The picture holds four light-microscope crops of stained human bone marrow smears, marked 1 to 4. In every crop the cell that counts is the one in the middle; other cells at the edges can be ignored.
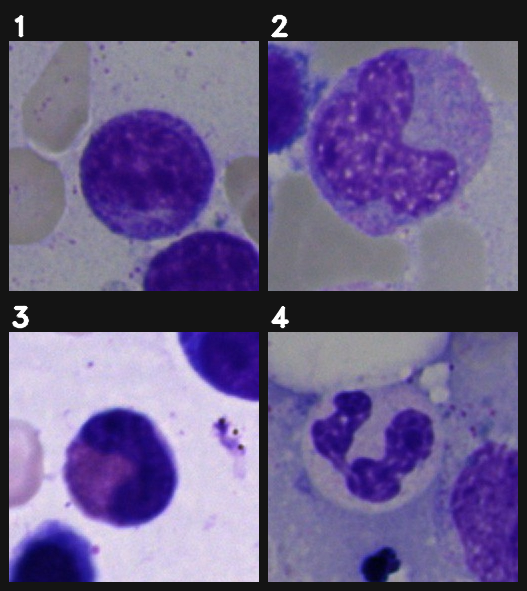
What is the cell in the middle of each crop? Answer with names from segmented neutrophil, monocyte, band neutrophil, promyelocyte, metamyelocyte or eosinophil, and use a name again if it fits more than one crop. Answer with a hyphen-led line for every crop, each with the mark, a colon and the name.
- 1: metamyelocyte
- 2: monocyte
- 3: eosinophil
- 4: segmented neutrophil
